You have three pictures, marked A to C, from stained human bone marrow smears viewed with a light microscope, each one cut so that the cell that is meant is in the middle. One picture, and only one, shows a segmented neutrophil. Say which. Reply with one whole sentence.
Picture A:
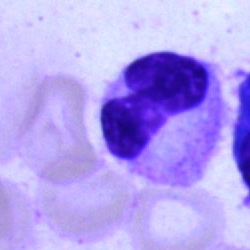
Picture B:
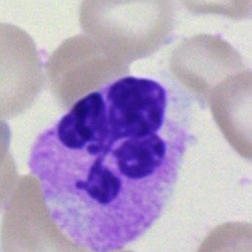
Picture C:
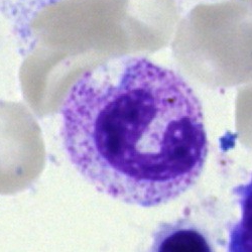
Picture B is the one that shows the segmented neutrophil.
